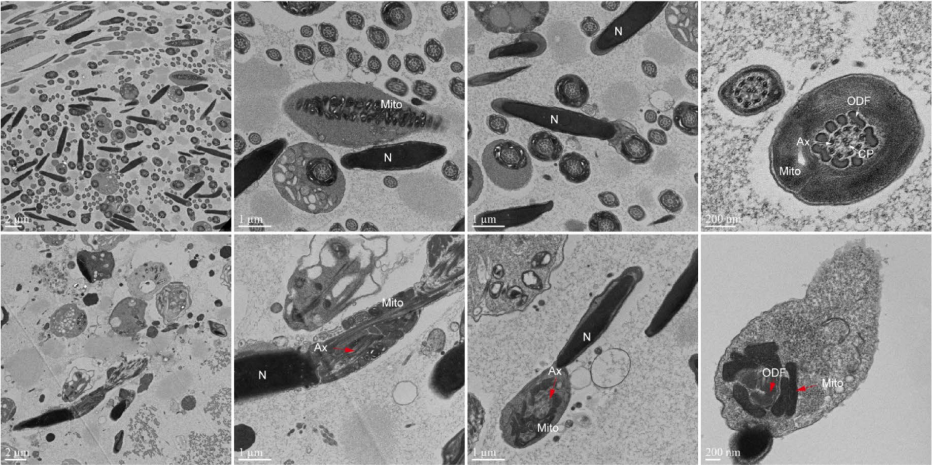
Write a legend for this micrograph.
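In the upper row, numerous round cross-sections of sperm tails lie close together, each with a ring of mitochondria or dense fibres around a central axoneme, and at high magnification the axoneme shows the regular ring of nine doublets around a central pair inside the outer dense fibres. Elongated, very electron-dense sperm nuclei lie among these tail sections. In the lower row the tails are fewer and irregular: the axoneme appears disorganized, mitochondria are clustered in the wrong places beside the axoneme and nucleus, and the tail profiles are swollen with excess cytoplasm. In the highest-magnification image of the lower row, outer dense fibres and mitochondria lie in a disordered heap without the regular arrangement seen above.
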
